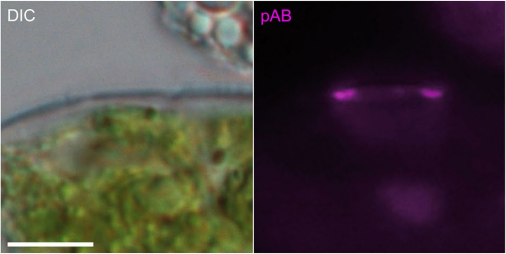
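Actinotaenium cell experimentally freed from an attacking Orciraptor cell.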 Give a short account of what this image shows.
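The view shows part of a large green algal cell filled with granular green chloroplast material, bounded by a smooth, thick cell wall. Above the wall lies part of another cell containing round refractile globules. In the fluorescence image a short, sharp magenta line runs along the algal cell surface. The line is brightest at its two ends, as expected of a ring seen in cross section. The algal interior shows only weak diffuse fluorescence.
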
